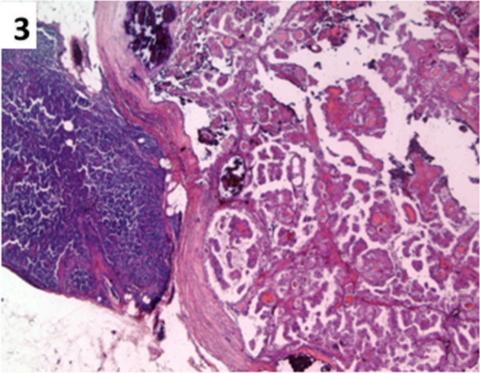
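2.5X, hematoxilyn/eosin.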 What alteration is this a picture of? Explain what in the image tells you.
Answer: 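Dense dark-blue lymphoid tissue on one side. Papillary and follicle-like epithelial structures across a fibrous band on the other side. The answer: lymph node metastatic lesion.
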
